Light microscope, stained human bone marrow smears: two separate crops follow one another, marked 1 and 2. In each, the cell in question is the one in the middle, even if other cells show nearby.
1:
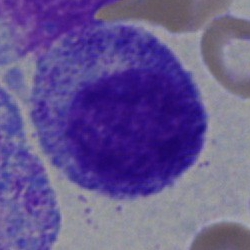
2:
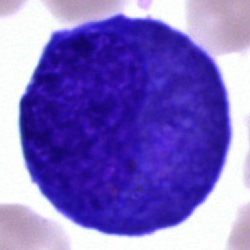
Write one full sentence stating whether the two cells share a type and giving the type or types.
No, sorry, crop 1 shows a myelocyte and crop 2 shows a promyelocyte.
